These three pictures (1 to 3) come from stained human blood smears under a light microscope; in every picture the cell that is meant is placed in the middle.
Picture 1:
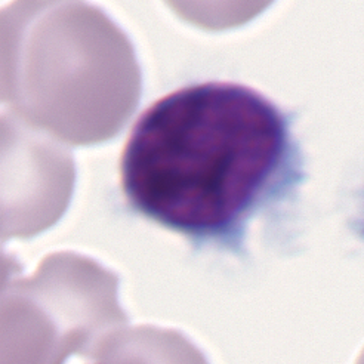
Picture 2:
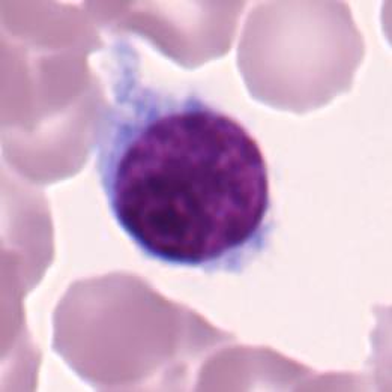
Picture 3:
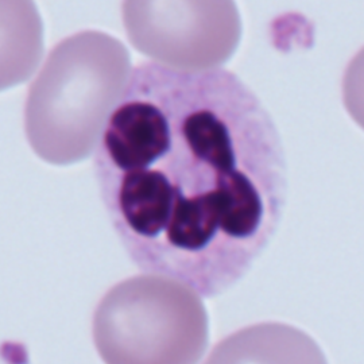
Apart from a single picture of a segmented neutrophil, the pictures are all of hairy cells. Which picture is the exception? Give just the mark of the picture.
3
